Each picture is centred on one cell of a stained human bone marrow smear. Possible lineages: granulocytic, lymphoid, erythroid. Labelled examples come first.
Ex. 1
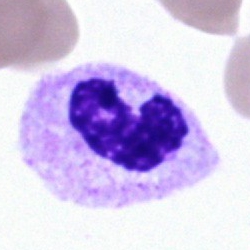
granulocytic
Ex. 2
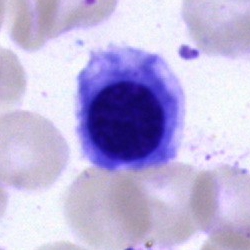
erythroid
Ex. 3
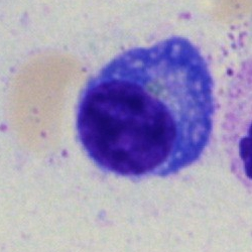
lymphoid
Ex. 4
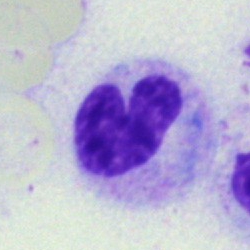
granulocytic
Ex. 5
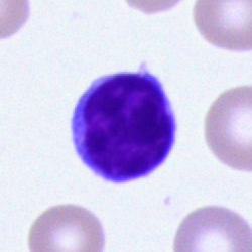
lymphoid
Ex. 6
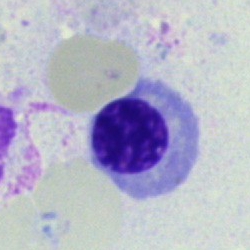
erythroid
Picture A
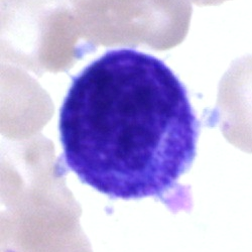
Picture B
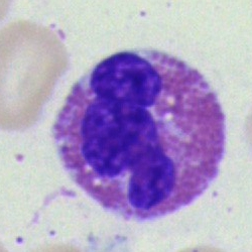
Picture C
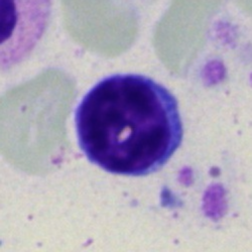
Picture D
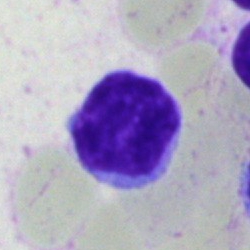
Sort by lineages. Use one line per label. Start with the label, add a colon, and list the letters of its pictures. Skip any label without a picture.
granulocytic: A, B
lymphoid: C, D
